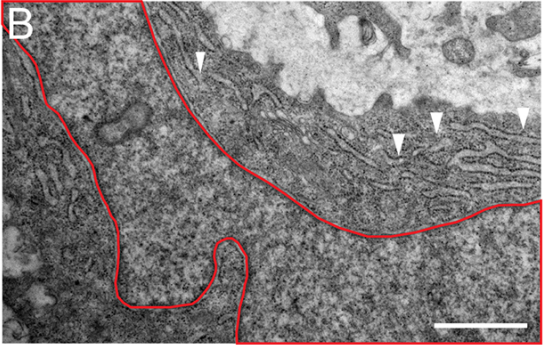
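The nuclear contour is irregular and lobed, with a deep narrow indentation at the bottom. The cytoplasm at upper right contains many stacked, parallel cisternae of endoplasmic reticulum with dilated lumens.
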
